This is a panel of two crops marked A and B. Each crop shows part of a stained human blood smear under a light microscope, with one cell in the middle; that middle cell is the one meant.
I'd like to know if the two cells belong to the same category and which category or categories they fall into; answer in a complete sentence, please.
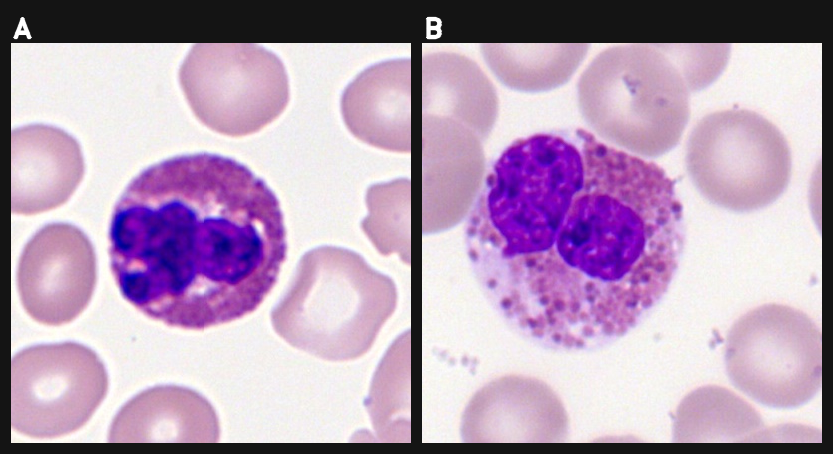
Yes, in the middle of both crops lie eosinophils.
